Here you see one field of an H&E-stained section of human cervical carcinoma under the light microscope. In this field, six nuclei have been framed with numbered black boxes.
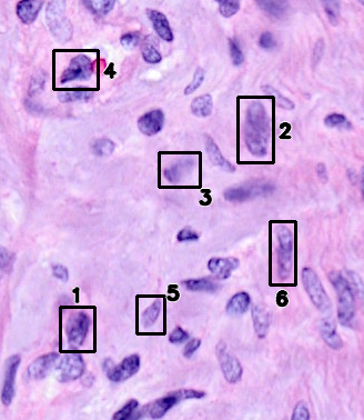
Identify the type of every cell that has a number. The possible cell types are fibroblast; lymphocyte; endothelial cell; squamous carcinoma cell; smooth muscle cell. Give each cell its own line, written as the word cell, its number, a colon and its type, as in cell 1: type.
cell 1: endothelial cell
cell 2: fibroblast
cell 3: fibroblast
cell 4: endothelial cell
cell 5: fibroblast
cell 6: smooth muscle cell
